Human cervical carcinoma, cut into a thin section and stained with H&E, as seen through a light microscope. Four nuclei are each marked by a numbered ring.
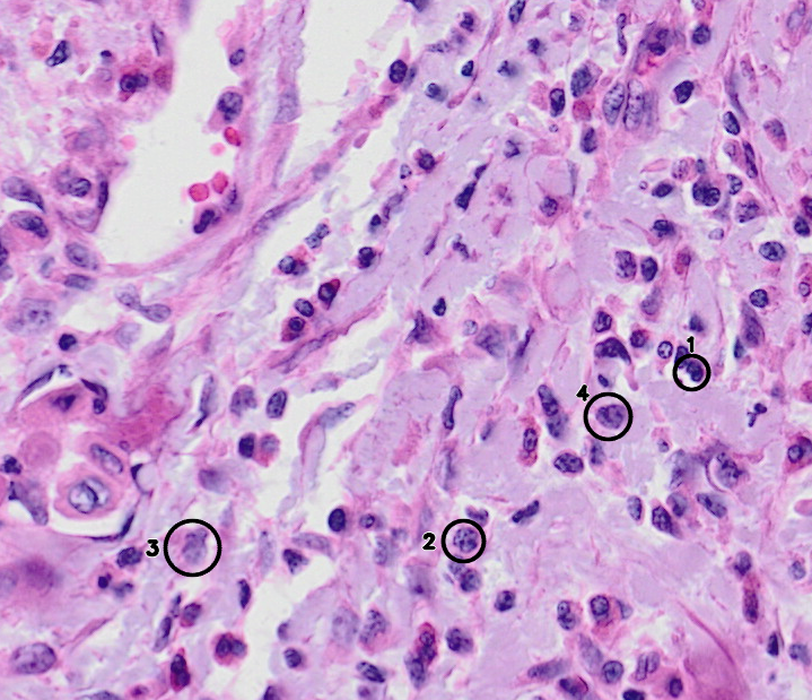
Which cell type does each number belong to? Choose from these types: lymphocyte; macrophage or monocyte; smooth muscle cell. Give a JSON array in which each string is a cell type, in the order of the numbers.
["lymphocyte", "lymphocyte", "macrophage or monocyte", "lymphocyte"]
